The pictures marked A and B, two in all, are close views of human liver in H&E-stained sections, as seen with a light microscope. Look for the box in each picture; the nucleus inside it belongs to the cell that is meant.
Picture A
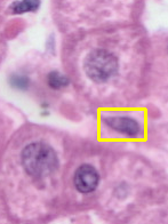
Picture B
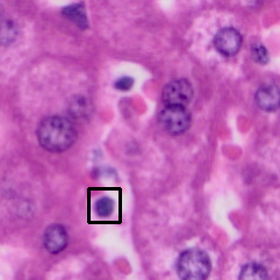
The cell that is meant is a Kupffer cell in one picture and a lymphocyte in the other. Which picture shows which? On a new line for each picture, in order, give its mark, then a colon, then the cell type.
A: Kupffer cell
B: lymphocyte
